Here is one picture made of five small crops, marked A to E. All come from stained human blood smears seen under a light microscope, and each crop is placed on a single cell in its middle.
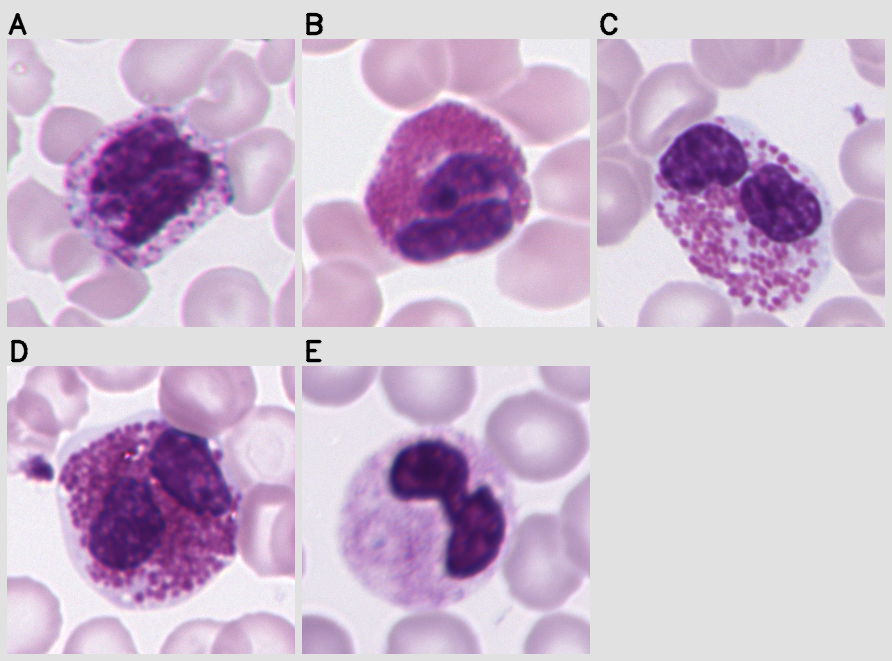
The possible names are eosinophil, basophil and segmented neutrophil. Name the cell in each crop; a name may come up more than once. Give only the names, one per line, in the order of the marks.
basophil
eosinophil
eosinophil
eosinophil
segmented neutrophil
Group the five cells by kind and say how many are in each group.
eosinophil: 3
basophil: 1
segmented neutrophil: 1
